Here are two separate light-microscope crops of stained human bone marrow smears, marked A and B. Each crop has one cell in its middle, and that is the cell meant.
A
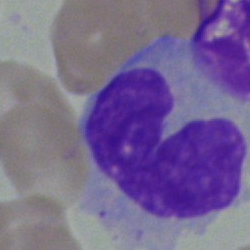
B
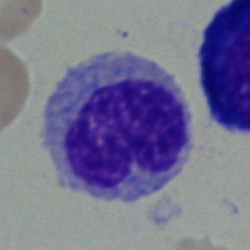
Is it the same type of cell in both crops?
yes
